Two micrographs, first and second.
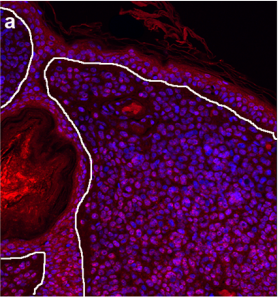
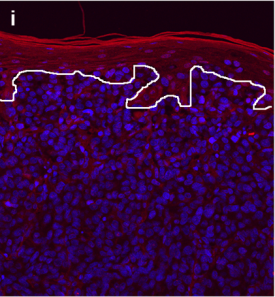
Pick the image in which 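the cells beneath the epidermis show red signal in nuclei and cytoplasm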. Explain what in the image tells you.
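The first image. Second image: the sheet of cells below the white line shows blue nuclei with almost no red. First image: the cells below the white line are tinged pink-red over nuclei and cytoplasm.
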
